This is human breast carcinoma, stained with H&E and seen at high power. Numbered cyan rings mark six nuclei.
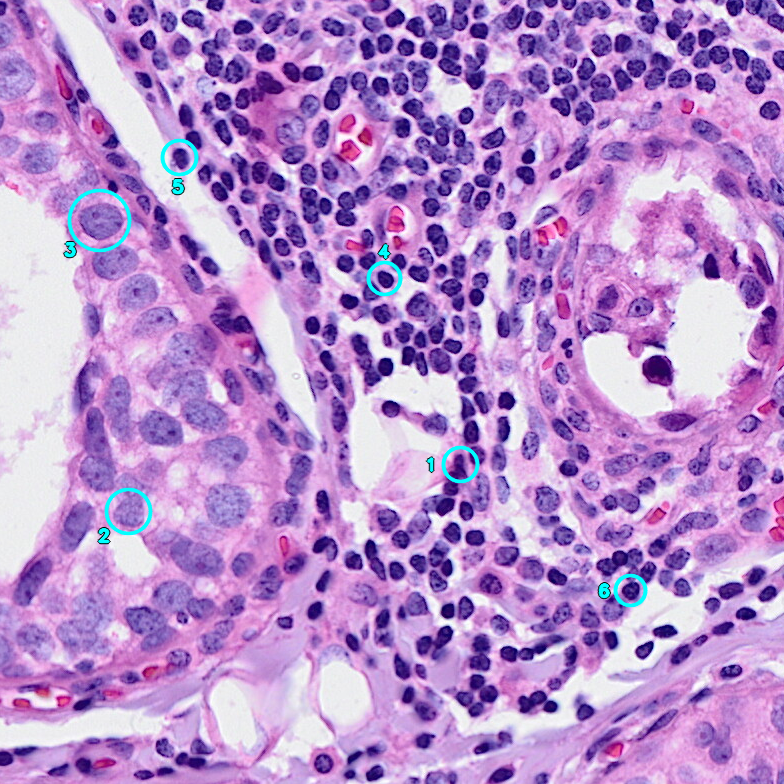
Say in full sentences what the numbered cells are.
Cells 1, 4, 5 and 6 are lymphocytes. Cells 2 and 3 are carcinoma cells.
